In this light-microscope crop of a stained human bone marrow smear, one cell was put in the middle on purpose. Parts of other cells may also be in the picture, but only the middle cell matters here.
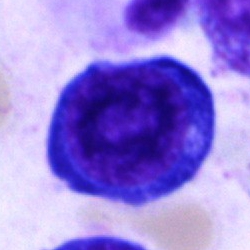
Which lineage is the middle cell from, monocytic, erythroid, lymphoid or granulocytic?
erythroid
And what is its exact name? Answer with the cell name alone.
proerythroblast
